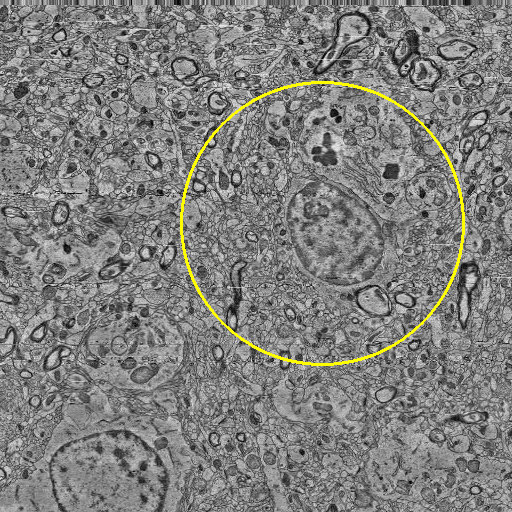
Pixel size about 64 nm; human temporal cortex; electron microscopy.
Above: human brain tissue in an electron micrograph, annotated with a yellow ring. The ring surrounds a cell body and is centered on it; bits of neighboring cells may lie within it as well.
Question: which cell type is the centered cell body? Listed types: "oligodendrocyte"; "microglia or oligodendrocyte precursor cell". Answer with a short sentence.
The centered cell body is an oligodendrocyte.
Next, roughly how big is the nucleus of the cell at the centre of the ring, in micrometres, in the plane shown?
Roughly 7 by 6 micrometres in this plane, for the nucleus of the ringed cell.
